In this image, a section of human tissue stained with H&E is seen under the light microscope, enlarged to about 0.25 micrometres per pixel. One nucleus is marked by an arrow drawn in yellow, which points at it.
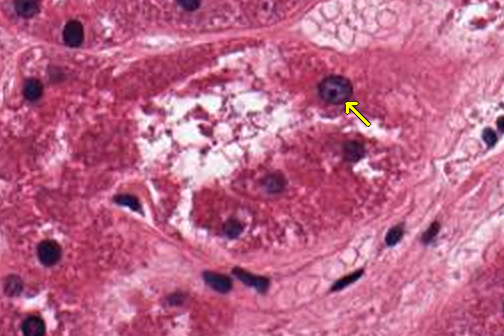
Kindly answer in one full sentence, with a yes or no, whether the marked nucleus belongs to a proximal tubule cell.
Yes, in this image it is a proximal tubule cell that contains the marked nucleus.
